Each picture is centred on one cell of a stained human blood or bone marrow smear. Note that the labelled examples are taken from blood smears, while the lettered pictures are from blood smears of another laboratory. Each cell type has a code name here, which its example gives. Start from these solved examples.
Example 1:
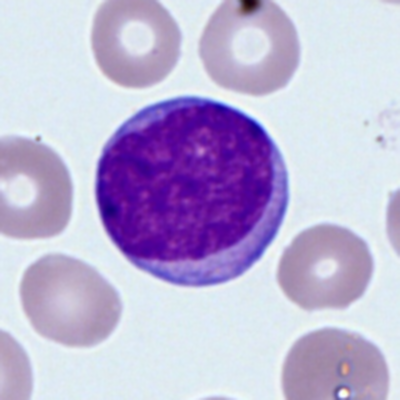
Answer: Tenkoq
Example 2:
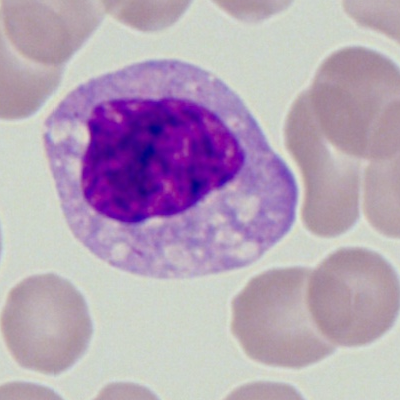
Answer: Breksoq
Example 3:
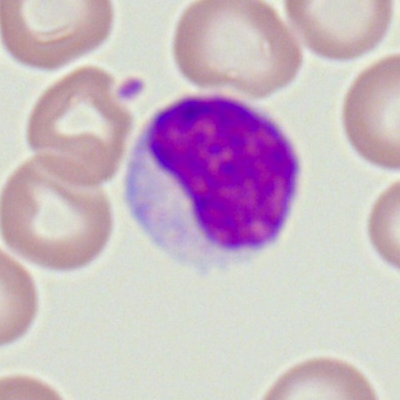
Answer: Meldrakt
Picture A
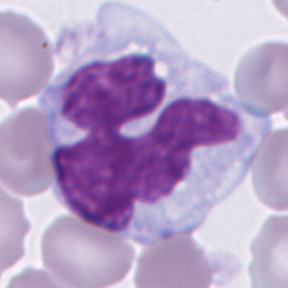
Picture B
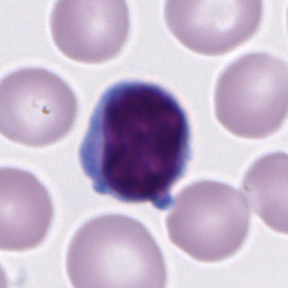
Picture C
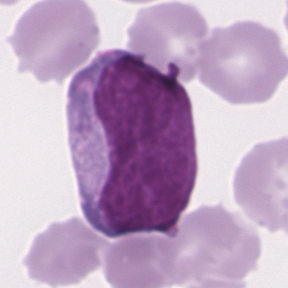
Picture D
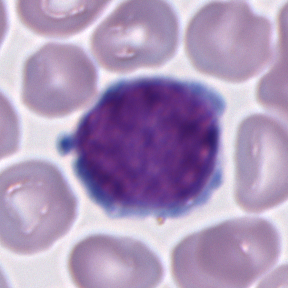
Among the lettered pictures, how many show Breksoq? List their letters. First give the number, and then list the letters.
1: A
